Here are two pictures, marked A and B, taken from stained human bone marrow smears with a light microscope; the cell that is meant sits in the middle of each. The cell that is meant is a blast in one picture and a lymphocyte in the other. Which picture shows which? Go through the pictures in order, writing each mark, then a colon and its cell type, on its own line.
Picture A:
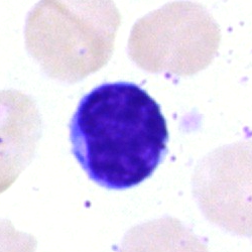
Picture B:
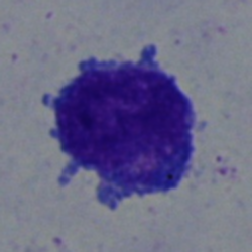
A: lymphocyte
B: blast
